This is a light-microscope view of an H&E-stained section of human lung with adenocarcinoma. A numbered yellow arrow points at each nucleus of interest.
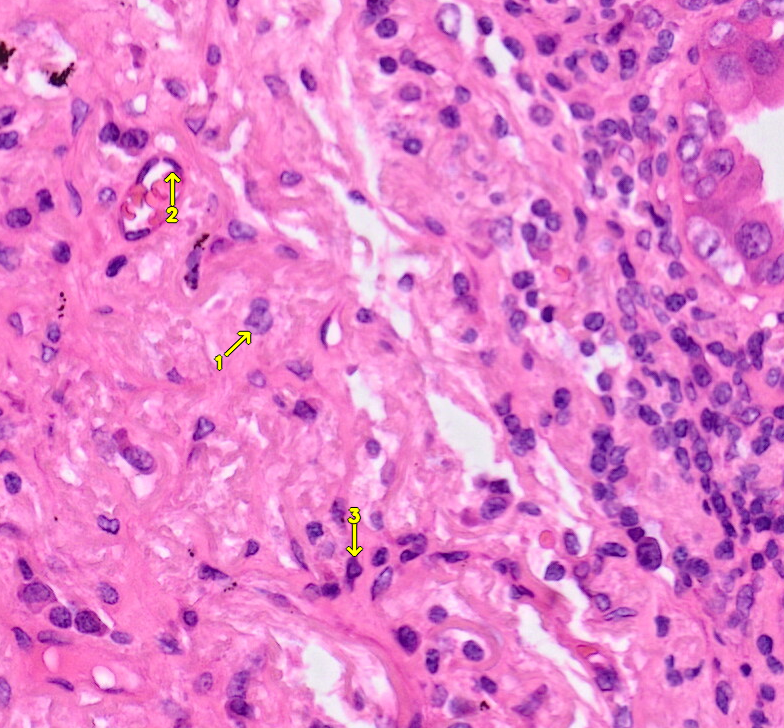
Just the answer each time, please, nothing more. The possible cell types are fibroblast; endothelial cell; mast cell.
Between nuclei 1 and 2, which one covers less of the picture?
2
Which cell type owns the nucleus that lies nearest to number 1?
mast cell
